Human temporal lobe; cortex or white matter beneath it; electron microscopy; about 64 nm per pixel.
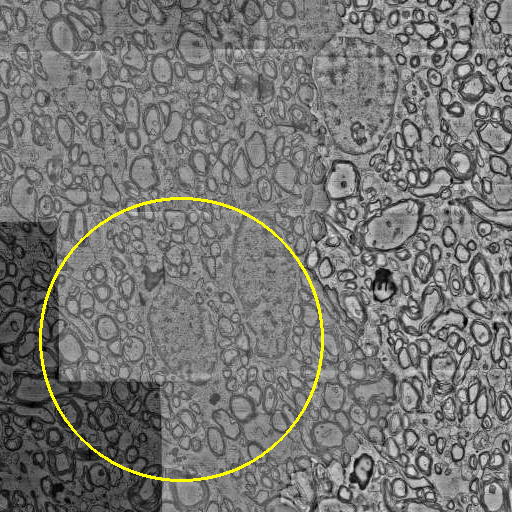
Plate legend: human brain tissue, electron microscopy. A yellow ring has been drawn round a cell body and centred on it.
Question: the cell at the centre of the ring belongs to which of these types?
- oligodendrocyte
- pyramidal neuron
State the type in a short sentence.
The cell in the middle of the ring is an oligodendrocyte.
